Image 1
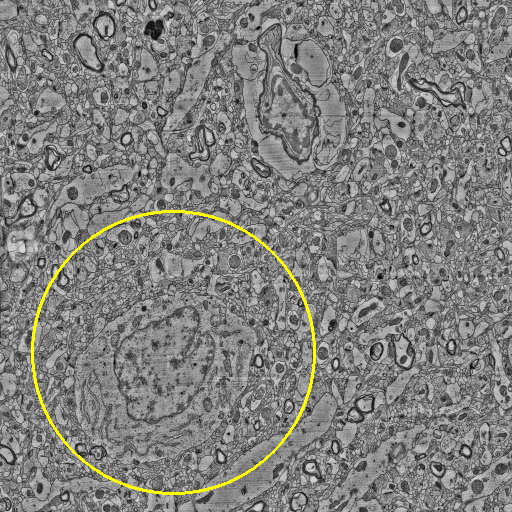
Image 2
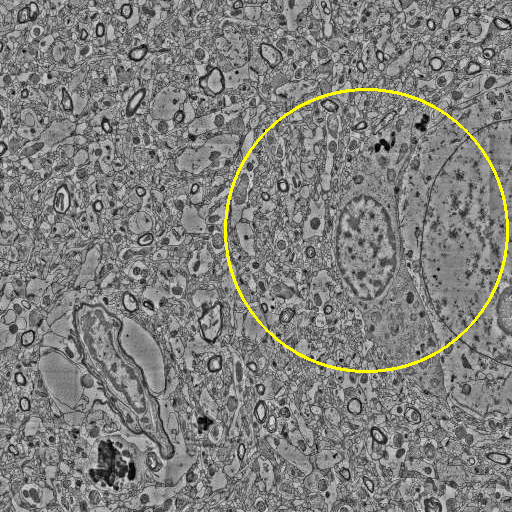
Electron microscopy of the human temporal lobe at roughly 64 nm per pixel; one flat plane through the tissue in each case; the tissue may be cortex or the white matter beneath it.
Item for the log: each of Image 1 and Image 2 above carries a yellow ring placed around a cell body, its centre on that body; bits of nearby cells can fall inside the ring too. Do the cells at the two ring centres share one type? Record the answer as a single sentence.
No, the two cells at the ring centres in Image 1 and Image 2 are of two types.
